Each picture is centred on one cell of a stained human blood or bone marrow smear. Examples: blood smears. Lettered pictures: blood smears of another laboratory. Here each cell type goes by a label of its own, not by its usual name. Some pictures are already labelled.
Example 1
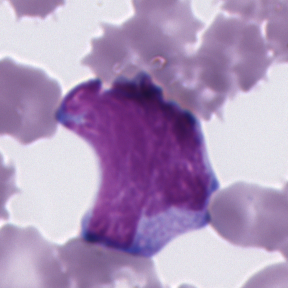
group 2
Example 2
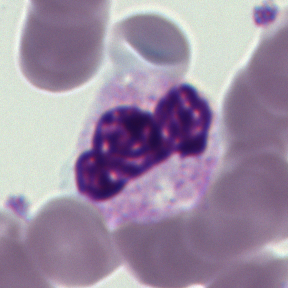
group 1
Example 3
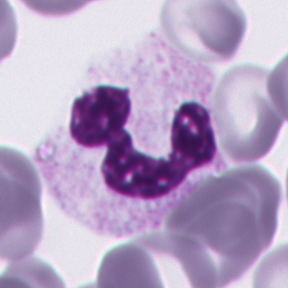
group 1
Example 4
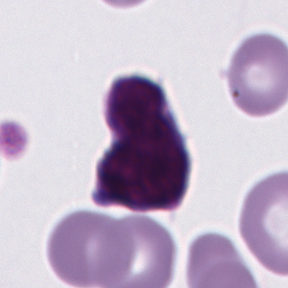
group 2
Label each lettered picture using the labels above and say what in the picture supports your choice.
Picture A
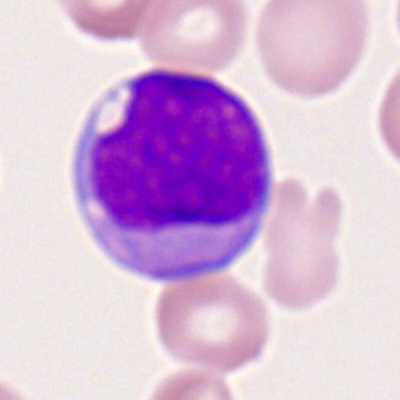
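group 2. Evidence: The cytoplasm is scant, pale blue, and widest as a crescent along the bottom of the cell.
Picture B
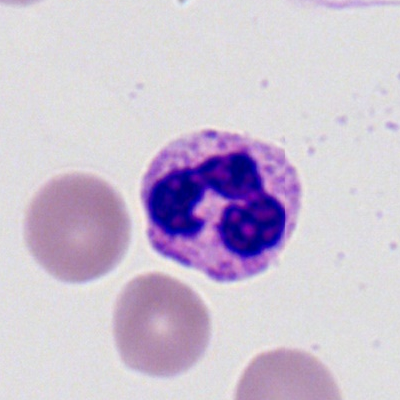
group 1. Evidence: The nucleus is divided into three lobes.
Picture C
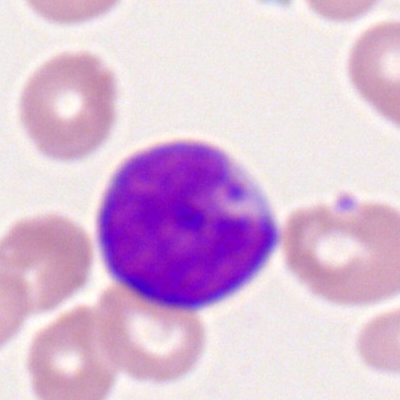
group 2. Evidence: Very little cytoplasm can be seen around the nucleus.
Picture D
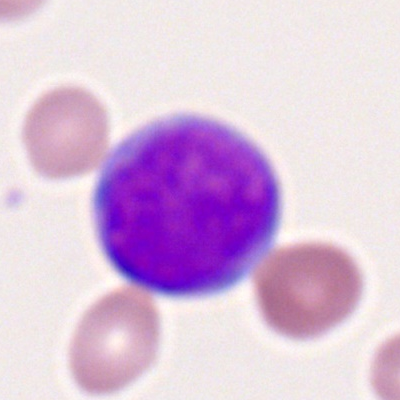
group 2. Evidence: The cytoplasm is only a thin deep-blue rim, seen best along the left and lower edge.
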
